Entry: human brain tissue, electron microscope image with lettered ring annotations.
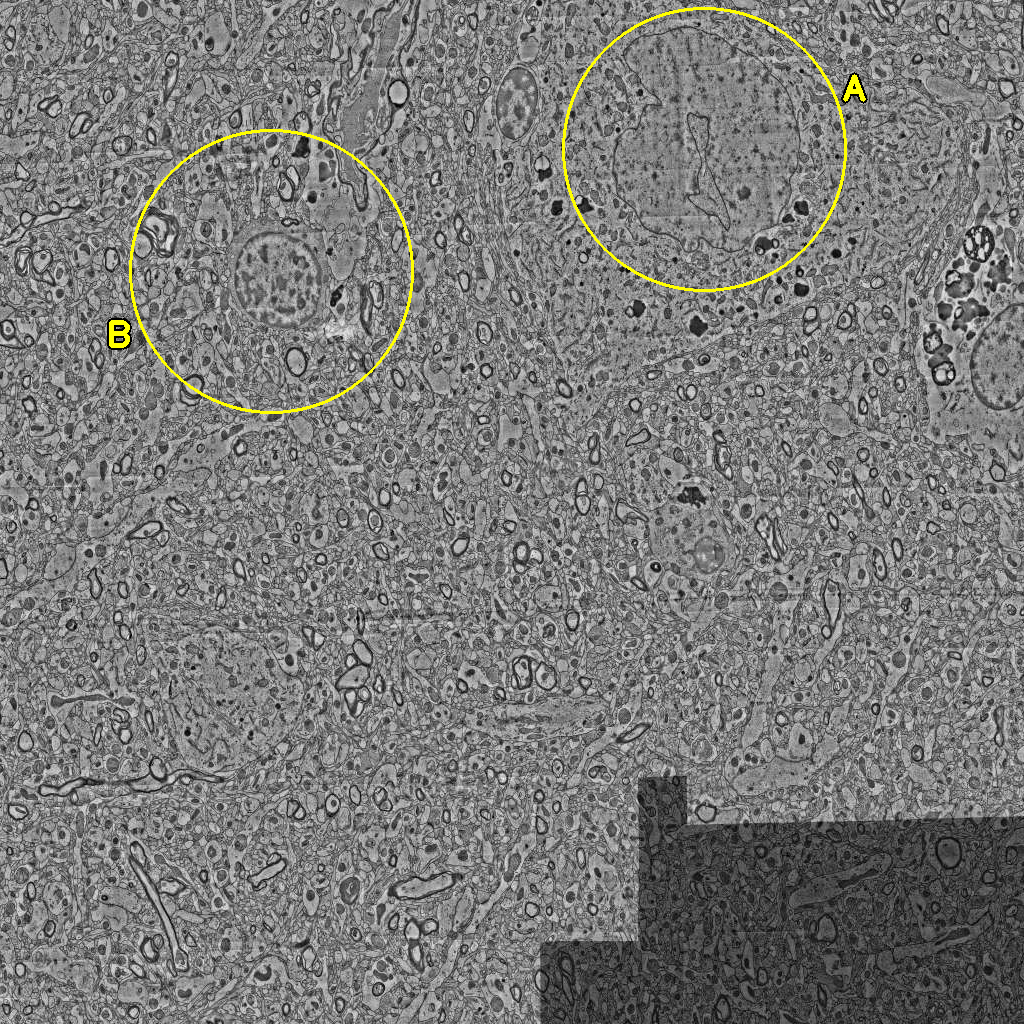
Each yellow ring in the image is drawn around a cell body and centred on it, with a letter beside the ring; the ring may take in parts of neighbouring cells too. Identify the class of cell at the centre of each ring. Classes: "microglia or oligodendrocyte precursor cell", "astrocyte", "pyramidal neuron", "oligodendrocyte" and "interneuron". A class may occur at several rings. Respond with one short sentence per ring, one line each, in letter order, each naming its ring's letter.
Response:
Ring A holds a pyramidal neuron at its centre.
Ring B holds an oligodendrocyte at its centre.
